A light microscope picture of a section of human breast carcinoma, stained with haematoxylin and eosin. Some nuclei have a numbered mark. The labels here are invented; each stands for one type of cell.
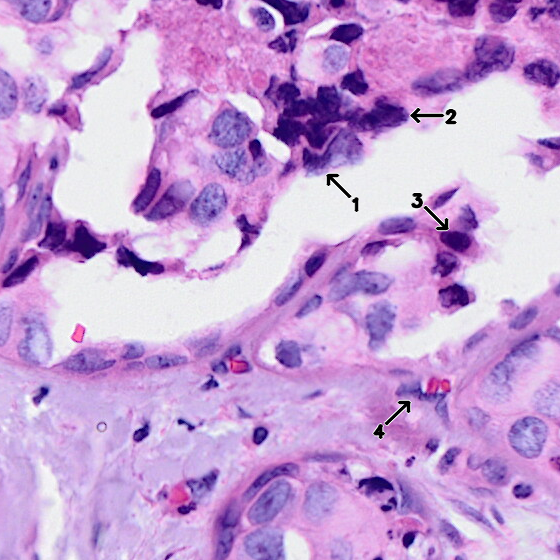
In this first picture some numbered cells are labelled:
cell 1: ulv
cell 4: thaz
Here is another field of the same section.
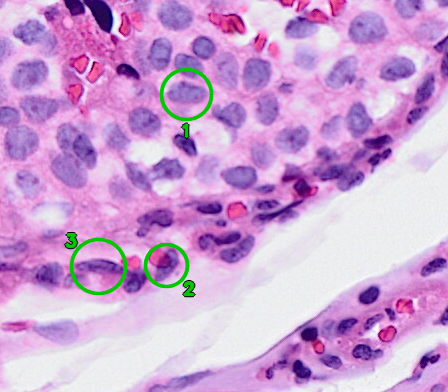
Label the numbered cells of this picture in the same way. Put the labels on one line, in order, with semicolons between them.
ulv; thaz; thaz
